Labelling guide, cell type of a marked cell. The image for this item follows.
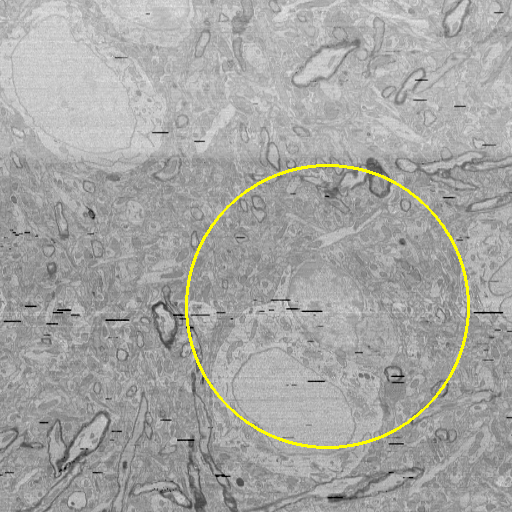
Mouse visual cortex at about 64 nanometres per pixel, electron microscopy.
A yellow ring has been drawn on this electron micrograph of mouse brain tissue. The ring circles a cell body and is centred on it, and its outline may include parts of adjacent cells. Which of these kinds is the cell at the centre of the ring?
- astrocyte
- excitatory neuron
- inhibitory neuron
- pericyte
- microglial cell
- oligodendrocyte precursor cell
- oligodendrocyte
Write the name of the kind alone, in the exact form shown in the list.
oligodendrocyte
